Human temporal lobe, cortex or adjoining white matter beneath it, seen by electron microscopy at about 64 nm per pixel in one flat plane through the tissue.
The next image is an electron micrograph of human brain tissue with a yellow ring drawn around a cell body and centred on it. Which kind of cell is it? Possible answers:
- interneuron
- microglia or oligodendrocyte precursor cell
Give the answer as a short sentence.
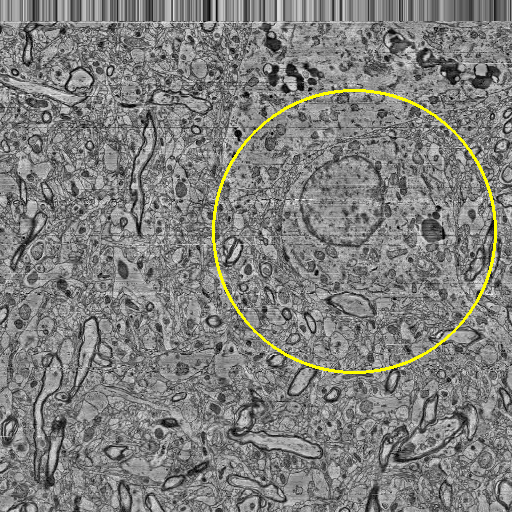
In the ring's centre is an interneuron.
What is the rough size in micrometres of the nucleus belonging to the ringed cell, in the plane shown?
The nucleus is approximately 6 micrometers across in this plane.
